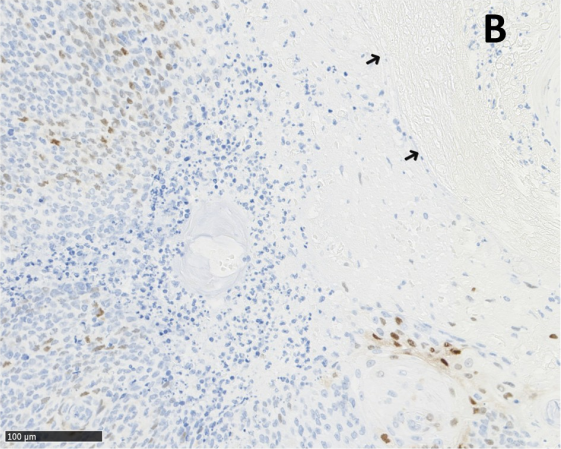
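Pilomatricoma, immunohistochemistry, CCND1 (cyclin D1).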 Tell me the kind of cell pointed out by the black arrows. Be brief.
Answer: Shadow-cells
